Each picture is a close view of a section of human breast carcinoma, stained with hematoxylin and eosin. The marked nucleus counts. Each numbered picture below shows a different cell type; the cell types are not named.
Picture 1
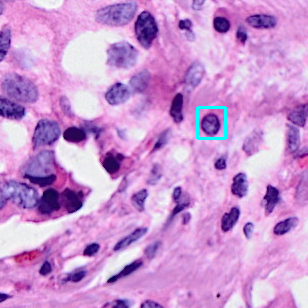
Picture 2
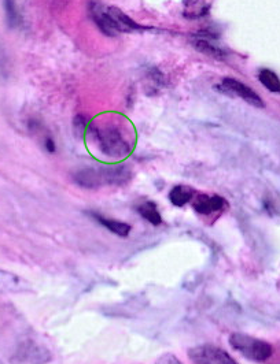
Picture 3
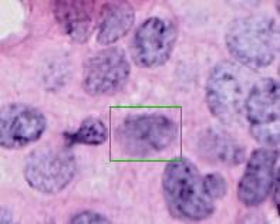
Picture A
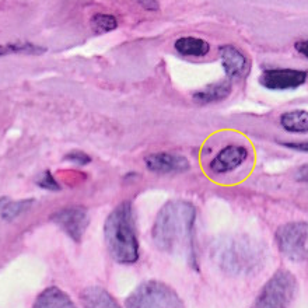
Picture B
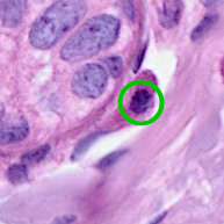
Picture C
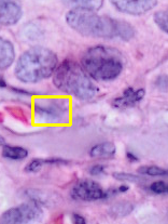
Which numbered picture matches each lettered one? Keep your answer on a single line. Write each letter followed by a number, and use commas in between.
A 1, B 1, C 2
